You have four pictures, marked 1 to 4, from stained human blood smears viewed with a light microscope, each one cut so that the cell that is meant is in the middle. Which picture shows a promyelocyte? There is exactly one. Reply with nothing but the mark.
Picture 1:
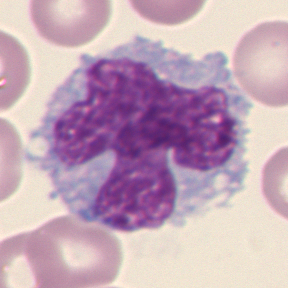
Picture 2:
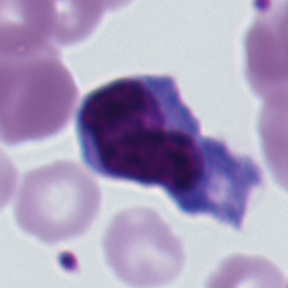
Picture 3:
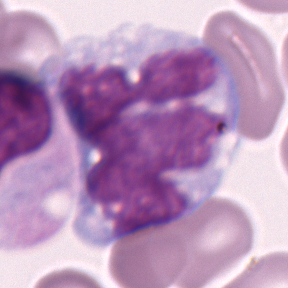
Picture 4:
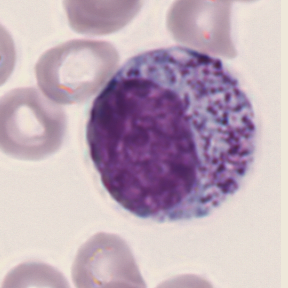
4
